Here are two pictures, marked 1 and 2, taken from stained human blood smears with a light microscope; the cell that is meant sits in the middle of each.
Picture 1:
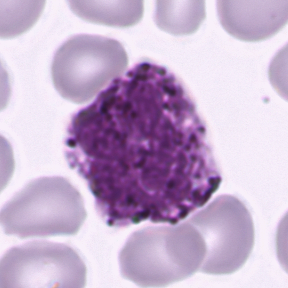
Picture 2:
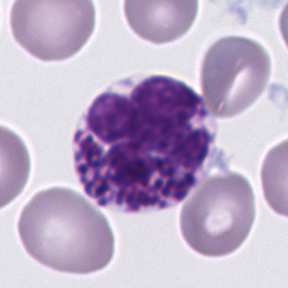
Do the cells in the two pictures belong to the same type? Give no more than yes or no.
yes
